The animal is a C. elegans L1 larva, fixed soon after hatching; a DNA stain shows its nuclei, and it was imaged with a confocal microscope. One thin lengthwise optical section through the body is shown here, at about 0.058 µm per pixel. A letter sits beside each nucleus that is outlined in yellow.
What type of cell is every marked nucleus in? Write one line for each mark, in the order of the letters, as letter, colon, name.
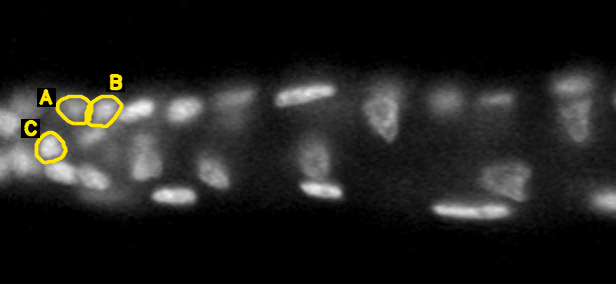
A: rectal epithelial cell
B: neuron
C: rectal epithelial cell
